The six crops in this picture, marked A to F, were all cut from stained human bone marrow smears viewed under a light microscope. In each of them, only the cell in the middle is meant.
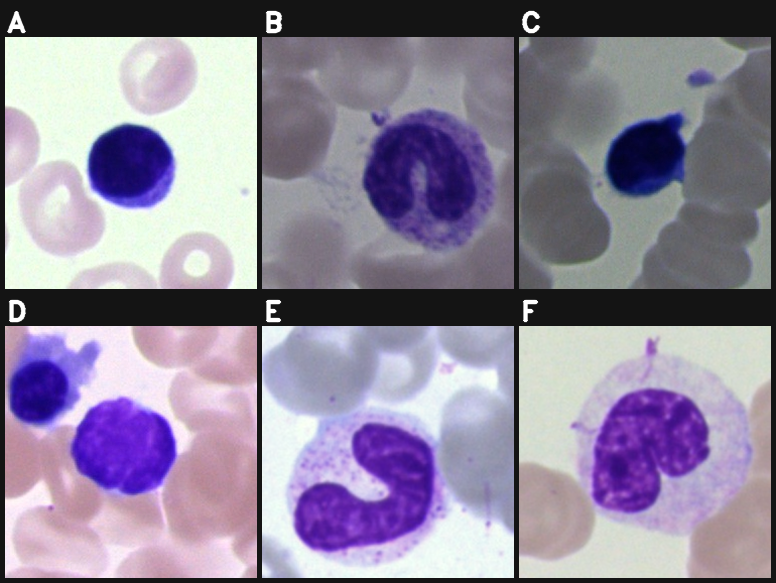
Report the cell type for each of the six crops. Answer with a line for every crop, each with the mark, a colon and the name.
A: lymphocyte
B: band neutrophil
C: lymphocyte
D: lymphocyte
E: band neutrophil
F: band neutrophil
